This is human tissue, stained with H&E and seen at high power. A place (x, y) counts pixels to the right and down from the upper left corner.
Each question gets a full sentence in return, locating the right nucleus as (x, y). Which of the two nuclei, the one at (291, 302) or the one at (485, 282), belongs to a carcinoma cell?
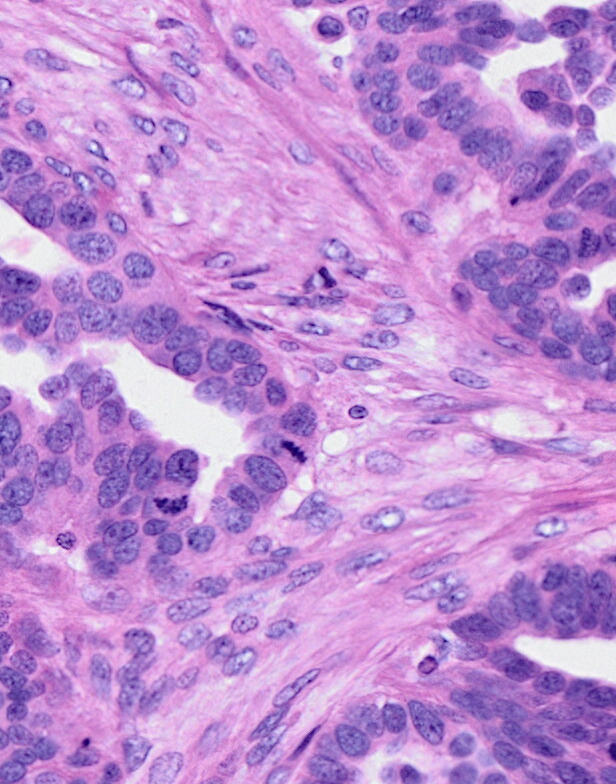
It is at (485, 282) that the nucleus of a carcinoma cell is found.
